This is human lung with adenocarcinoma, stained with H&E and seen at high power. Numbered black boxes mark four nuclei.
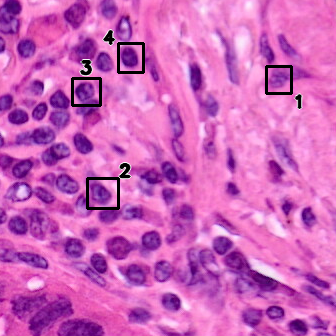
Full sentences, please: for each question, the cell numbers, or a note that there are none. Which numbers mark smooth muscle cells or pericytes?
Across all the numbered cells, only number 1 is a smooth muscle cell or pericyte.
